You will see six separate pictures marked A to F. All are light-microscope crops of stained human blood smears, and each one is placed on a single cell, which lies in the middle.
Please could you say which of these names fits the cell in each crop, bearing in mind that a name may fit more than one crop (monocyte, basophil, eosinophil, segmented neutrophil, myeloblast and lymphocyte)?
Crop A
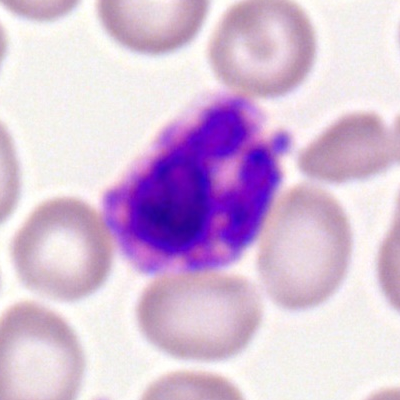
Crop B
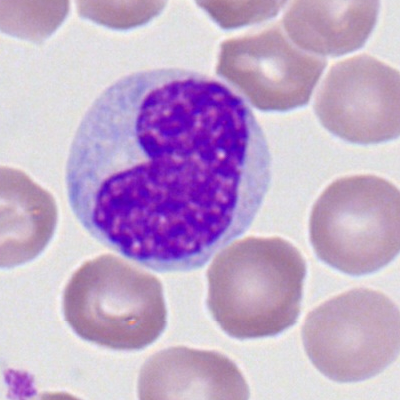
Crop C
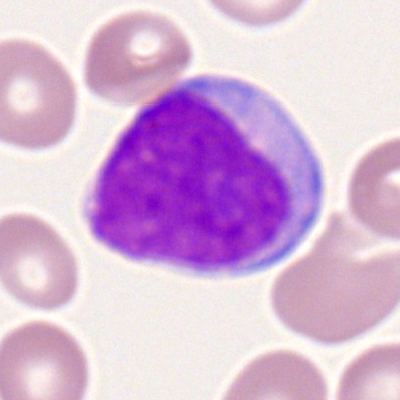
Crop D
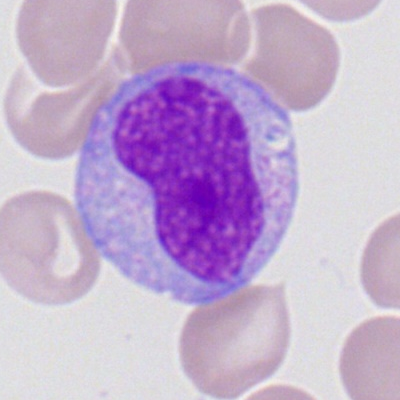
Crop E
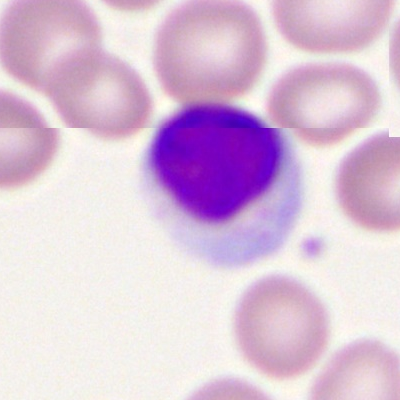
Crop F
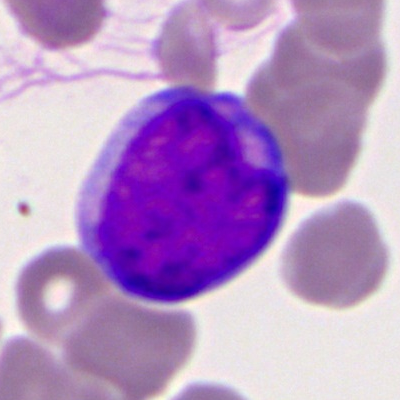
A: basophil
B: monocyte
C: myeloblast
D: monocyte
E: lymphocyte
F: myeloblast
